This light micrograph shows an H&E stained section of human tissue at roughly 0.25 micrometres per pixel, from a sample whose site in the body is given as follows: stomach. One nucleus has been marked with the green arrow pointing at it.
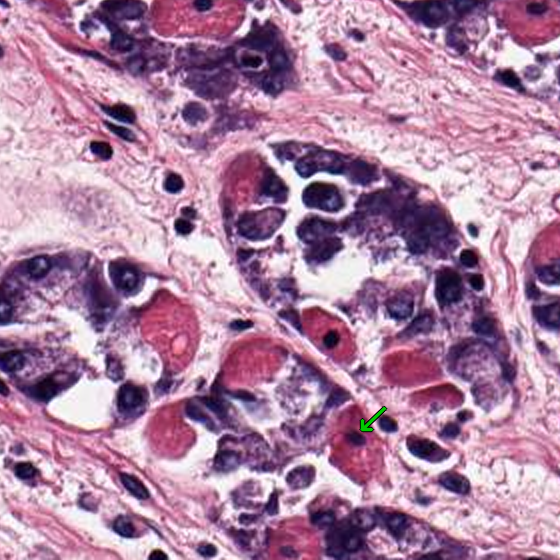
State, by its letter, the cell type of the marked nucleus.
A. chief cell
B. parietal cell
B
